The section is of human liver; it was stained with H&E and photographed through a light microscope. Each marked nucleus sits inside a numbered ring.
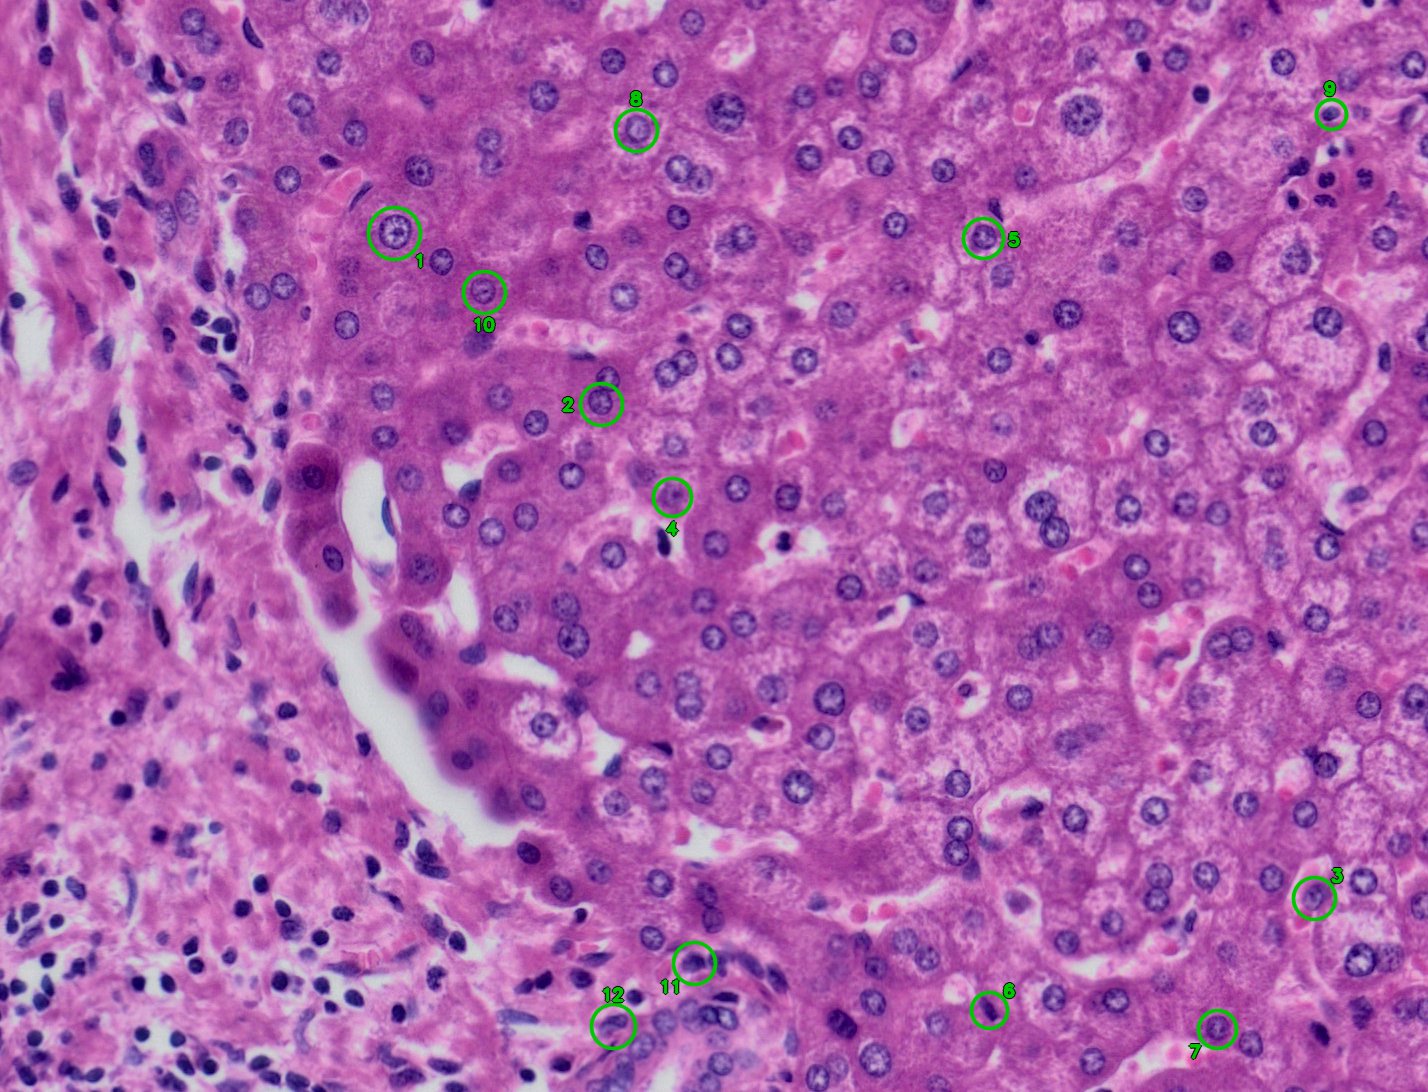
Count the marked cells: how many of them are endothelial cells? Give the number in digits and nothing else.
0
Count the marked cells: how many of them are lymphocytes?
1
